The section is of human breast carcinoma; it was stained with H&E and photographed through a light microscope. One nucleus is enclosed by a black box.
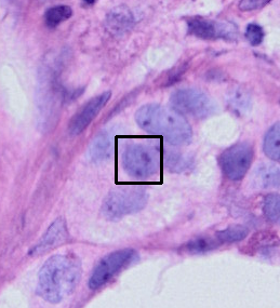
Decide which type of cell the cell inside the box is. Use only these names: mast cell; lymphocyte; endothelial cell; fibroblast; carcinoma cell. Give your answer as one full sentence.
In this field of tissue, the cell inside the box is a carcinoma cell.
